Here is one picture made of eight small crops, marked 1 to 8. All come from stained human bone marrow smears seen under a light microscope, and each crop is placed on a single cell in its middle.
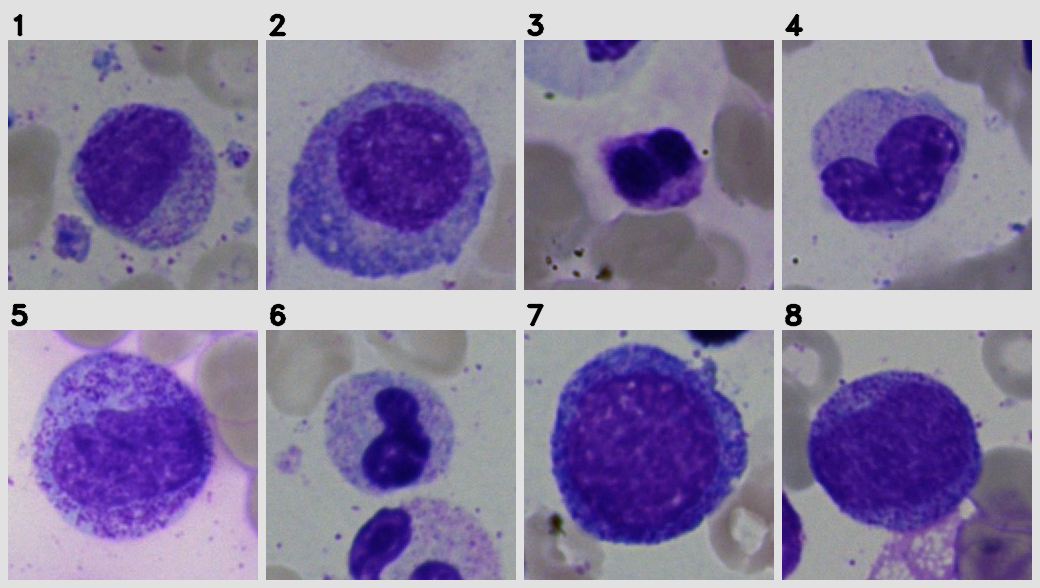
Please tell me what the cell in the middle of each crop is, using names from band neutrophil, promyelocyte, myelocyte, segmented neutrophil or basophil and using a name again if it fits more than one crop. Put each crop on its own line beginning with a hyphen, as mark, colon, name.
- 1: myelocyte
- 2: promyelocyte
- 3: basophil
- 4: band neutrophil
- 5: myelocyte
- 6: band neutrophil
- 7: promyelocyte
- 8: promyelocyte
